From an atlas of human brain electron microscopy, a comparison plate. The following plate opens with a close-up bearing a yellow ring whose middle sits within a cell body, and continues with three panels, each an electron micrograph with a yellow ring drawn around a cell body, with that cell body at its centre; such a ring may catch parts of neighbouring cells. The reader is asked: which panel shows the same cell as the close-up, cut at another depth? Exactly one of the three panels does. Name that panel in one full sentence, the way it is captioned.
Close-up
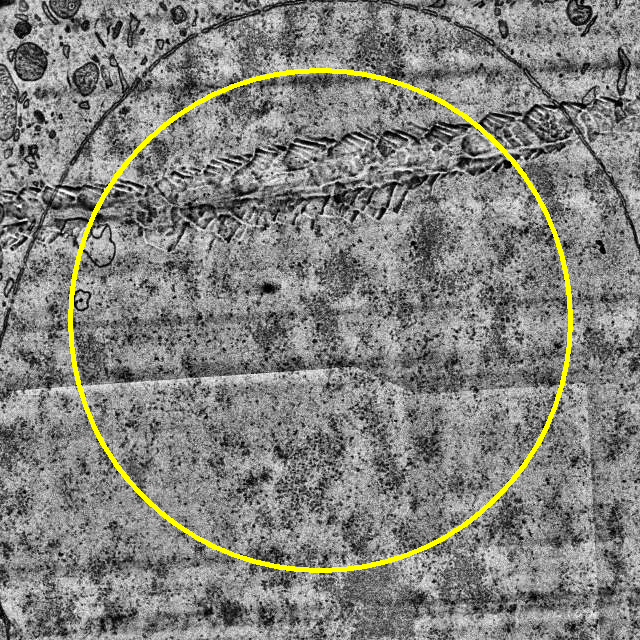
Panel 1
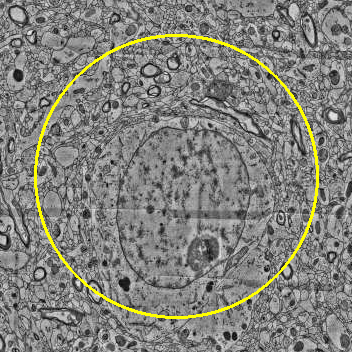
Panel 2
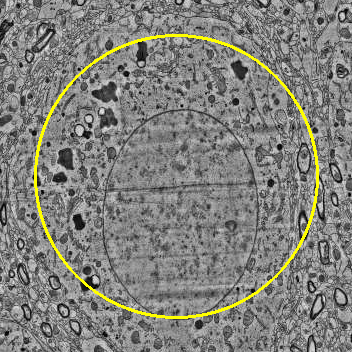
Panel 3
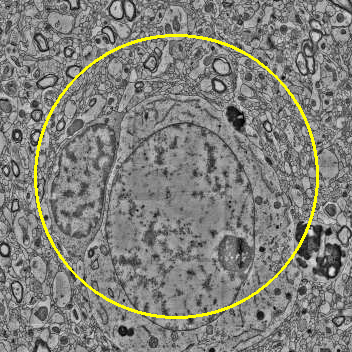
The close-up pictures the cell encircled in Panel 2.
